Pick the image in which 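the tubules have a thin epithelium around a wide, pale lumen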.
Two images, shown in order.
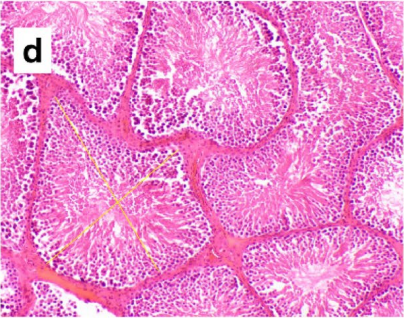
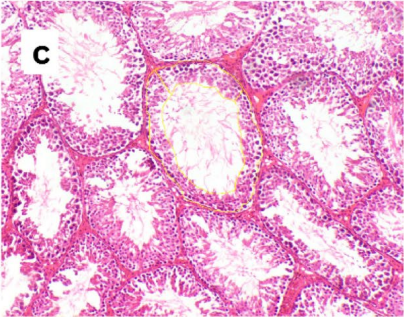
The second image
